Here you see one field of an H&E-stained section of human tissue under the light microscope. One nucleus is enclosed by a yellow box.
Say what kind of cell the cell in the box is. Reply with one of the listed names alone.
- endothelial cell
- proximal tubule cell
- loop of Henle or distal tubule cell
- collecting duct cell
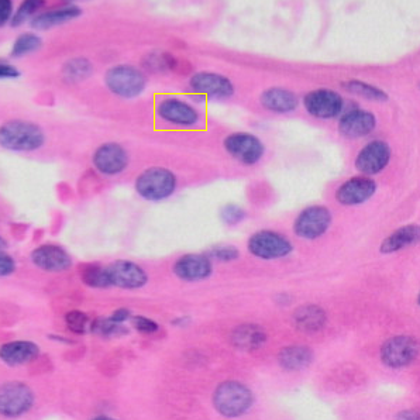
loop of Henle or distal tubule cell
